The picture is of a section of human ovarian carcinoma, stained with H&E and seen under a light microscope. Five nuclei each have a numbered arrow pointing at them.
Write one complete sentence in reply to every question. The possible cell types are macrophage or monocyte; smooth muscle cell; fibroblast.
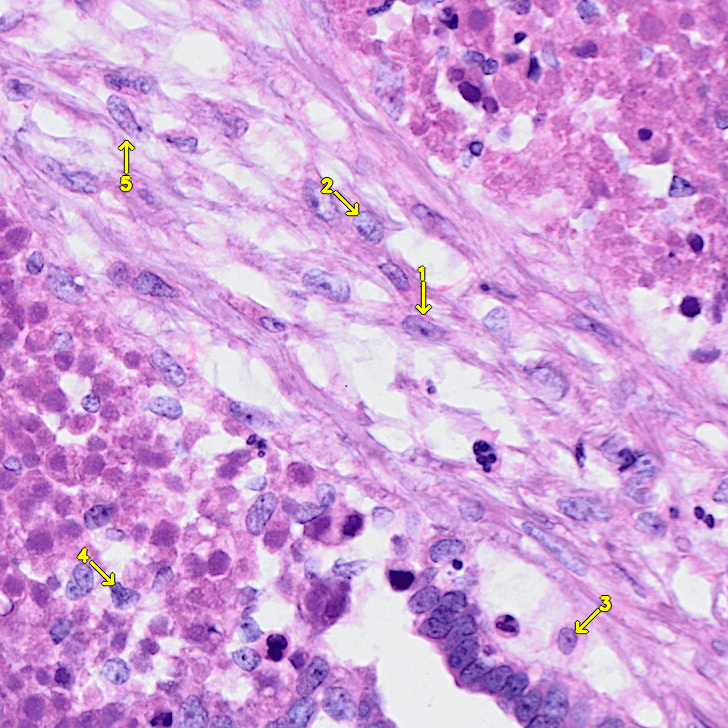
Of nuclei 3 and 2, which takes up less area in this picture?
Number 3 is smaller, since number 2 takes up about 2 times as much area.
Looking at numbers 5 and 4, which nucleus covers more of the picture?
The larger nucleus is 5, at roughly 1.5 times the area of 4.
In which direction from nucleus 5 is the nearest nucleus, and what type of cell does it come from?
Lying above nucleus 5, the nearest nucleus is that of a fibroblast.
